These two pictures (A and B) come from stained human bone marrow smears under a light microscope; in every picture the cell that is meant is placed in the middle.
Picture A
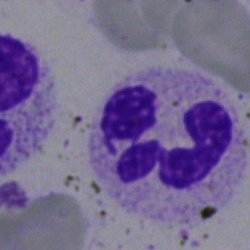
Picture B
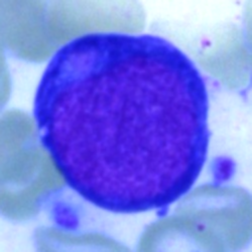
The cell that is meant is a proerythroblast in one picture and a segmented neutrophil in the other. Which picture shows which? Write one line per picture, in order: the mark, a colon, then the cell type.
A: segmented neutrophil
B: proerythroblast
